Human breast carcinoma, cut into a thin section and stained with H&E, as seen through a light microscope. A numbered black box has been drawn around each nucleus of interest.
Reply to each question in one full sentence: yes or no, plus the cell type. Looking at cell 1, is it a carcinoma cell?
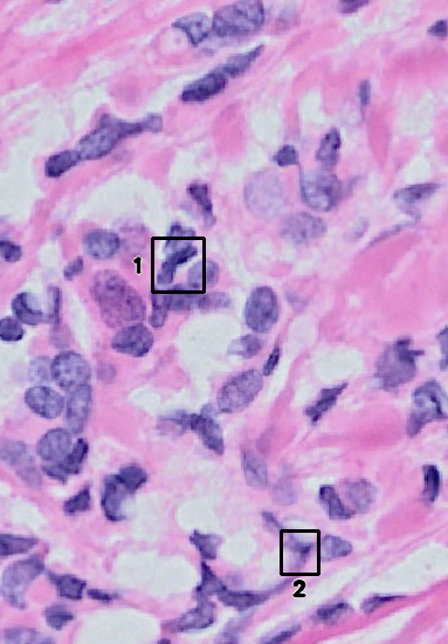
Yes, that one, number 1, is a carcinoma cell.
